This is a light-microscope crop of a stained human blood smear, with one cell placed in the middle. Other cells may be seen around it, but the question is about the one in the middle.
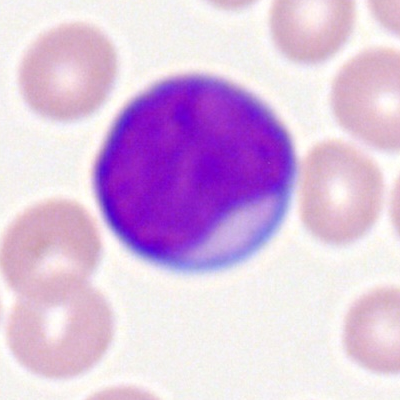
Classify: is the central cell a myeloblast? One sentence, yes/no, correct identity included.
Yes, the cell at the center of the crop is a myeloblast.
